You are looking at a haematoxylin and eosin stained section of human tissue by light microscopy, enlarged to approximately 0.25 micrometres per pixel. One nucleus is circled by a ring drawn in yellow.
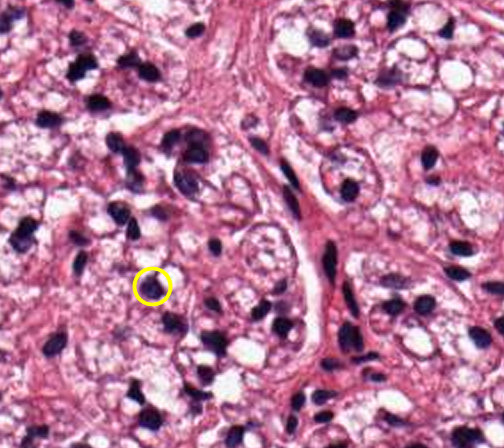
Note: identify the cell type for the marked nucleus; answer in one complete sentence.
In this picture it is an adrenal cortical cell whose nucleus is marked.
